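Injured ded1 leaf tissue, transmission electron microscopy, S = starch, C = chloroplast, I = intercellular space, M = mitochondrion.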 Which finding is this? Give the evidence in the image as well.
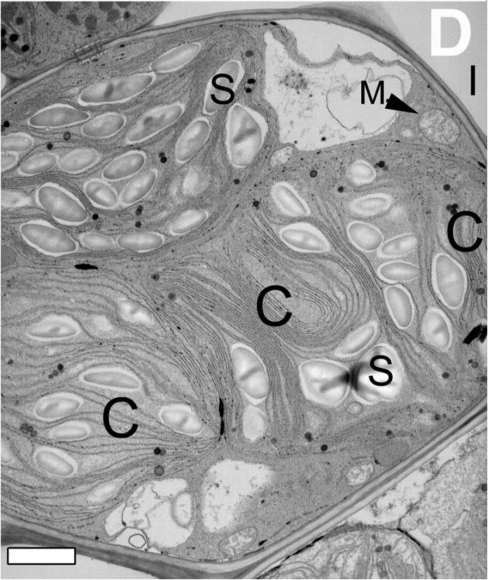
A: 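Folding of the thylakoid membranes. The internal membranes of the chloroplasts curve and swirl in concentric folds. Membranes bend around starch grains rather than running straight.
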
